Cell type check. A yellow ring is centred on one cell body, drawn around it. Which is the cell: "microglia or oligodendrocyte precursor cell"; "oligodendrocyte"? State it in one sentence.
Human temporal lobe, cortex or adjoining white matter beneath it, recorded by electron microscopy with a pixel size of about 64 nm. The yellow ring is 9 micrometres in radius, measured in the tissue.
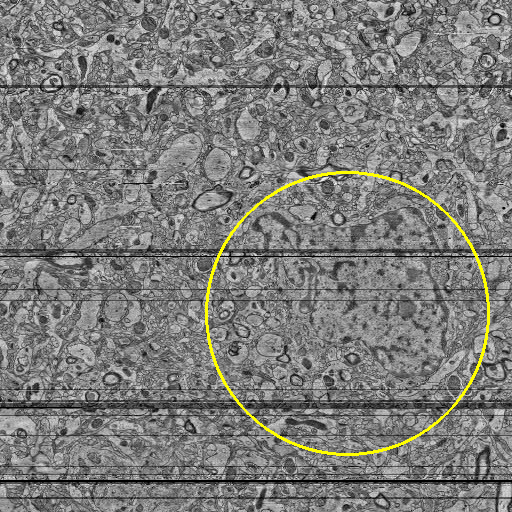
The cell body at the ring's centre belongs to a microglial cell or oligodendrocyte precursor cell.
